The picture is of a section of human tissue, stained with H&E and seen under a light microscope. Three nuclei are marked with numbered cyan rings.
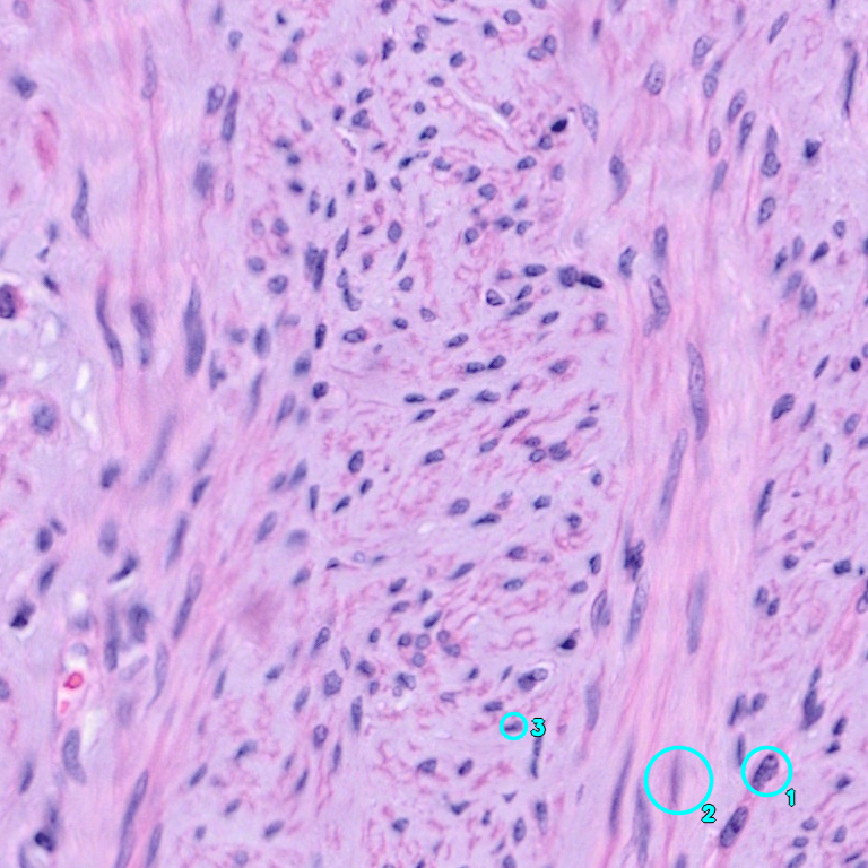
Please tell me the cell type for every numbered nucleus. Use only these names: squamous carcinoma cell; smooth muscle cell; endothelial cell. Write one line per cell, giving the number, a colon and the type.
1: endothelial cell
2: smooth muscle cell
3: smooth muscle cell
